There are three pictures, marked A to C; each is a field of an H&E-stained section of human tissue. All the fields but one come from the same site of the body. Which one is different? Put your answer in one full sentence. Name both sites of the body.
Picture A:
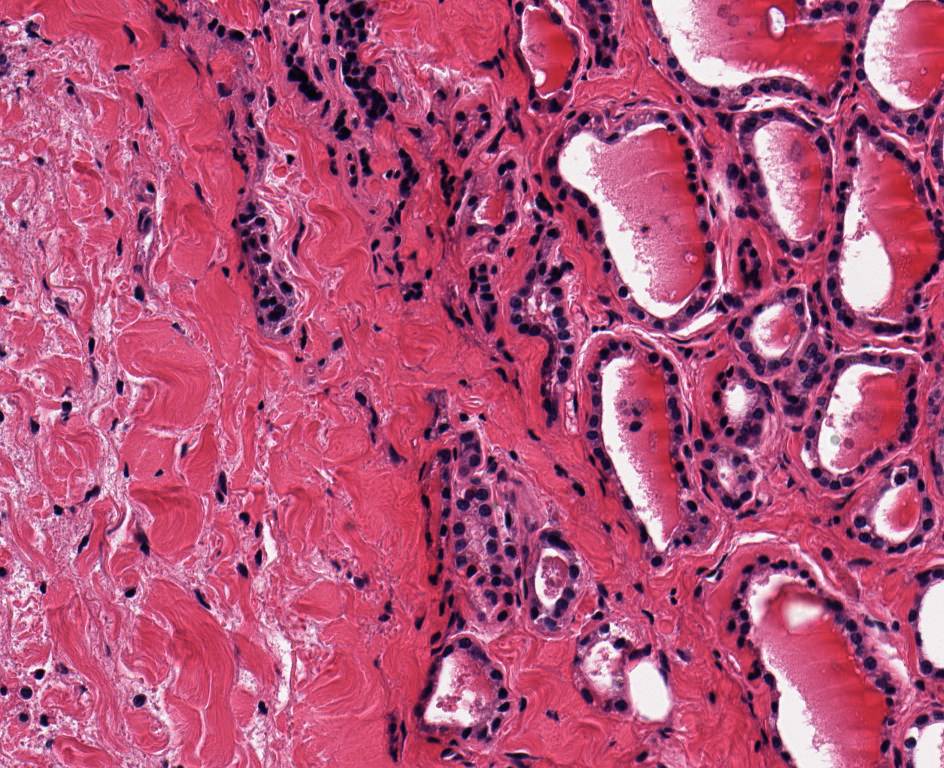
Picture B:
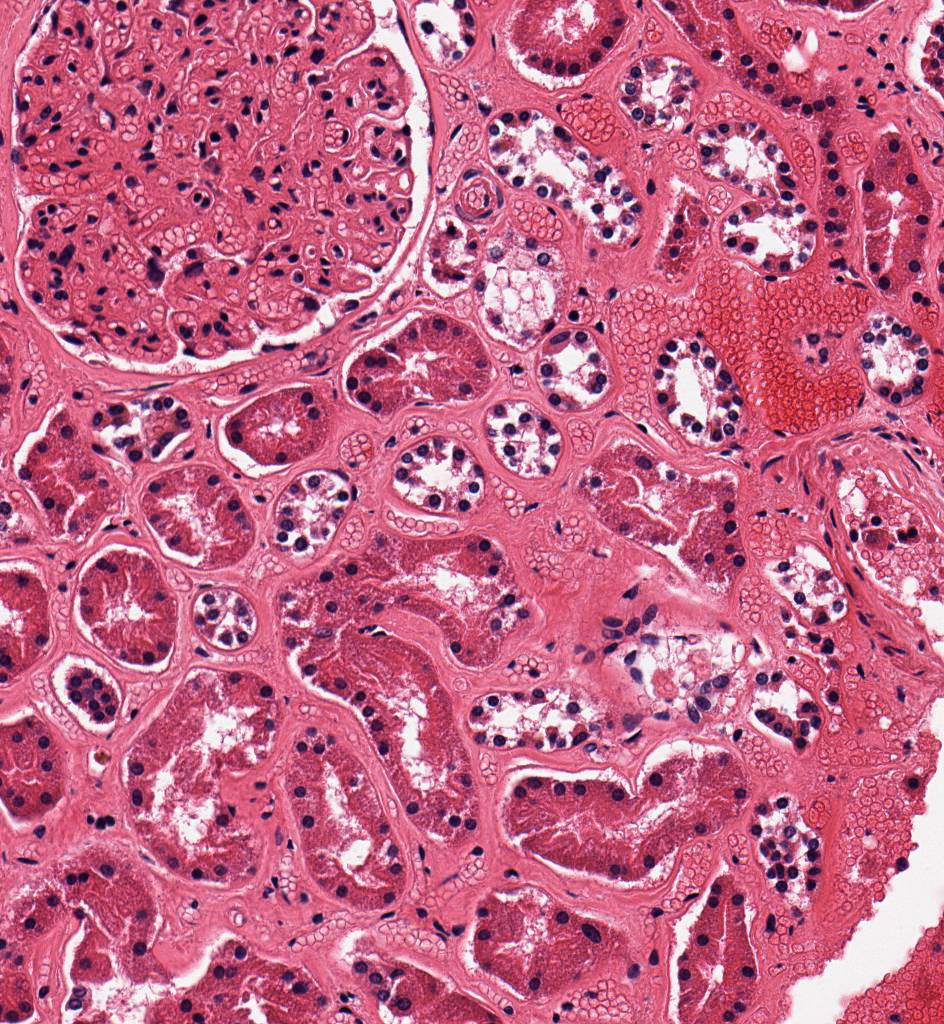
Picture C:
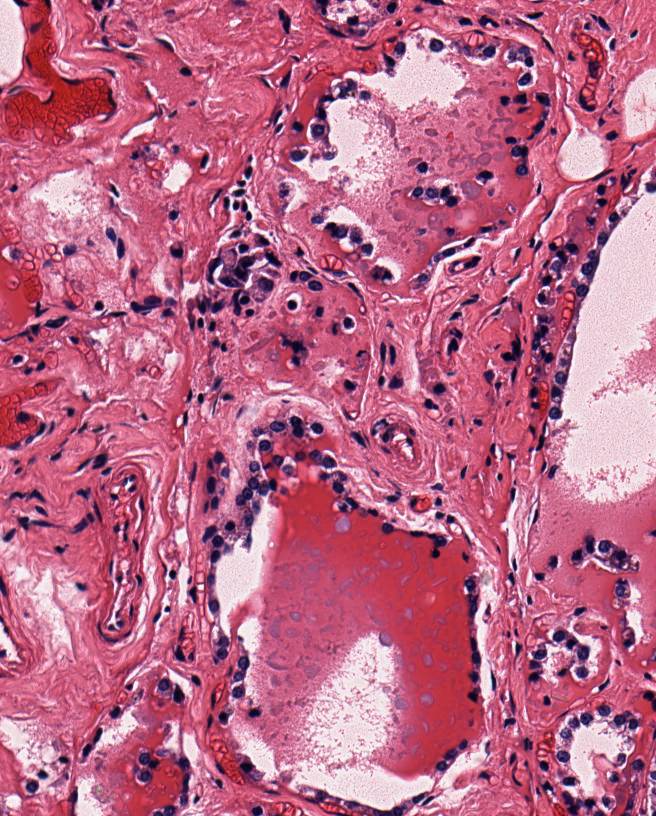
Unlike the rest, which come from the thyroid, picture B comes from the renal cortex.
